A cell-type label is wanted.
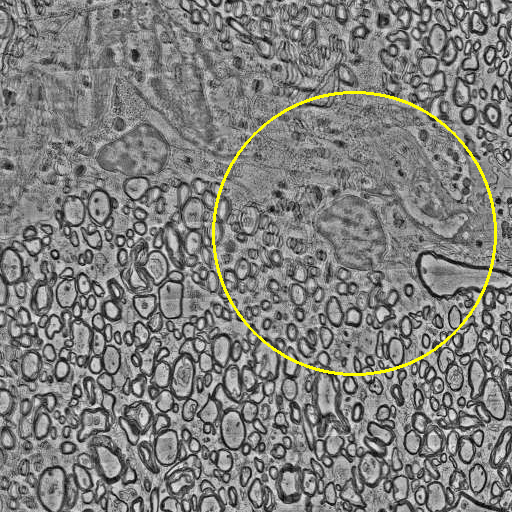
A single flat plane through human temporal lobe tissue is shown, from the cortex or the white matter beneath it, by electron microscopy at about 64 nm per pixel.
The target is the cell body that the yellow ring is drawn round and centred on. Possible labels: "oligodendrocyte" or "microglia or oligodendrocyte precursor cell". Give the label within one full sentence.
Of the labels offered, the cell in the middle of the yellow ring is a microglial cell or oligodendrocyte precursor cell.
